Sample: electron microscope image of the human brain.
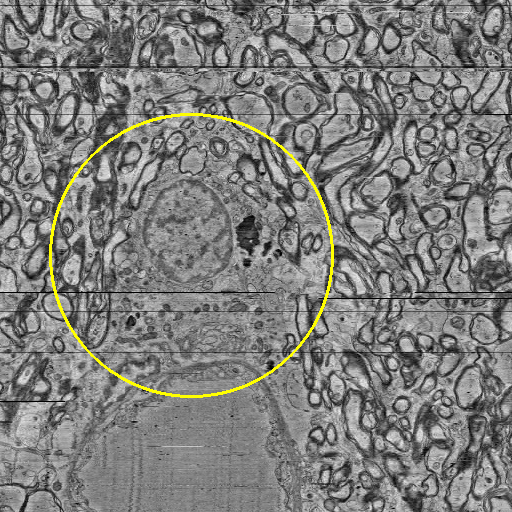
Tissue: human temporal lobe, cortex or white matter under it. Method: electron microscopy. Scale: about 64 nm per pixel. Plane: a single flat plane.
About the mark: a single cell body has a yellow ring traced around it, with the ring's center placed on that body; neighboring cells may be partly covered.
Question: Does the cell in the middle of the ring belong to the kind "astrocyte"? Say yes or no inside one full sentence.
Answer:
No, the cell at the ring's center in this image belongs to a different kind.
